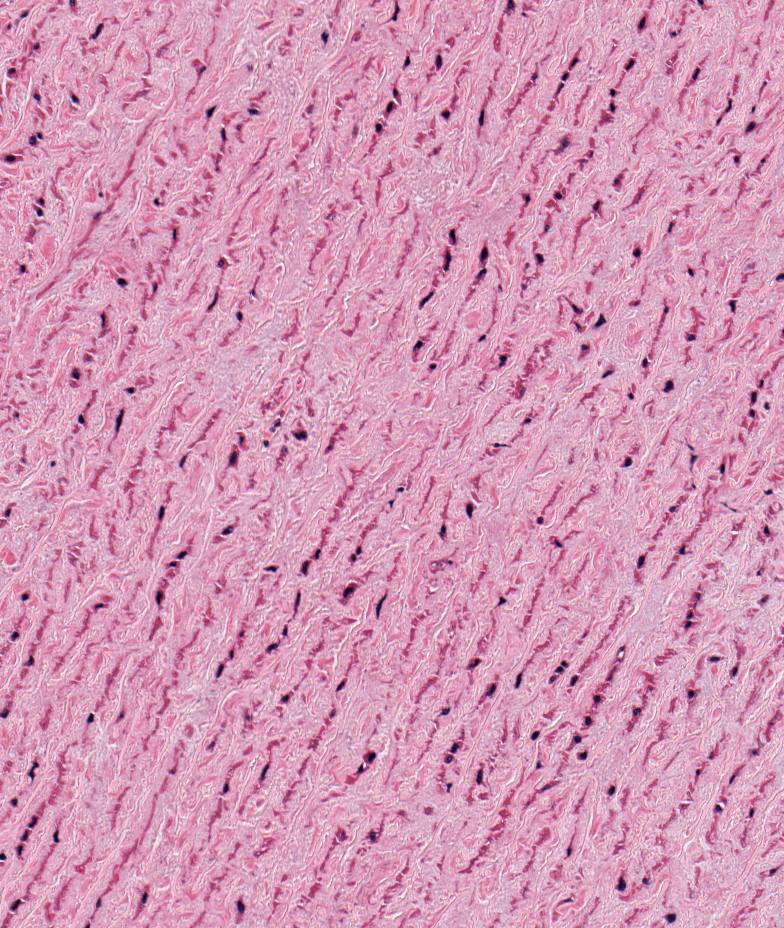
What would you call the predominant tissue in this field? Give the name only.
tunica media of an artery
